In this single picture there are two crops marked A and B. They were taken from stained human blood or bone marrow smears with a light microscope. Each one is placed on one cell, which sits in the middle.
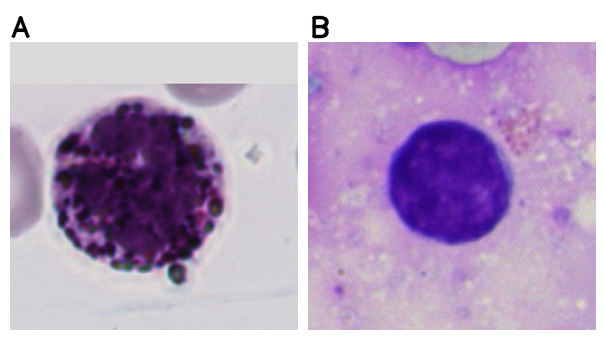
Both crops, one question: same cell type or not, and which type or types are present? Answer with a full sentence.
No, the cell centred in crop B is a lymphocyte; crop A centres on a basophil.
